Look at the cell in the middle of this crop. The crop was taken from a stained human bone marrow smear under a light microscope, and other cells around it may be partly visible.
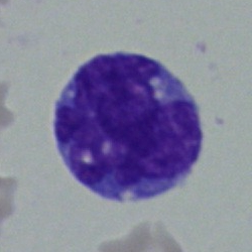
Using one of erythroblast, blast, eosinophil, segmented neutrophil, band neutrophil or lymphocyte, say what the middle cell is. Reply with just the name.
blast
